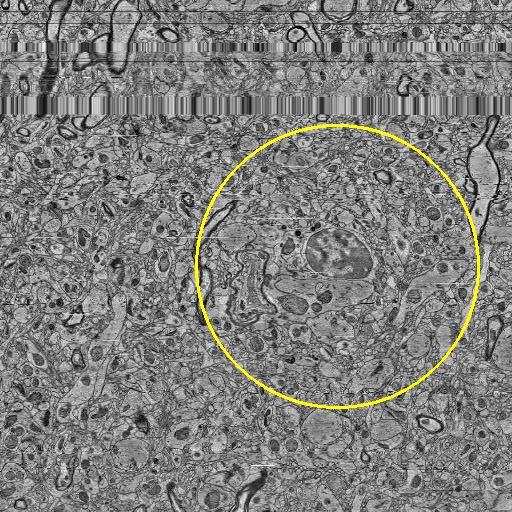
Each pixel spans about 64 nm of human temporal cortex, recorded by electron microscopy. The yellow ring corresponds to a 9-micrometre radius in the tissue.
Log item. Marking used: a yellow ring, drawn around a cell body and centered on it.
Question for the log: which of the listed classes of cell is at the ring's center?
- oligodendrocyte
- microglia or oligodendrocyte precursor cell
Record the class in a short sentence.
At the center of the ring lies a microglial cell or oligodendrocyte precursor cell.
